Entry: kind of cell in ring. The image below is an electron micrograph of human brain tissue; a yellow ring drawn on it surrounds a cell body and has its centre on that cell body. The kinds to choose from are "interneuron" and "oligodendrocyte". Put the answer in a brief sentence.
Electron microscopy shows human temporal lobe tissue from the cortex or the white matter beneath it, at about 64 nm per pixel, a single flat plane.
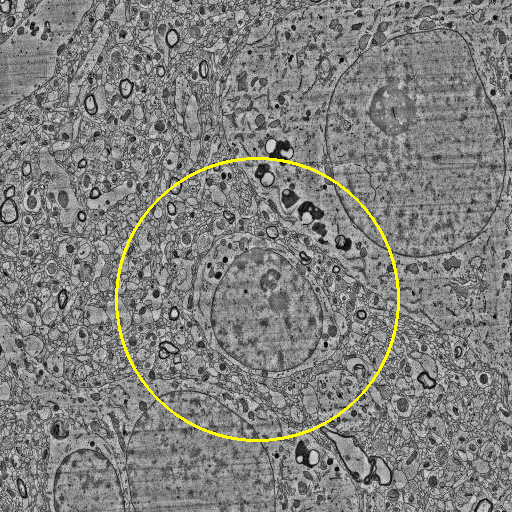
The ring has been drawn around an interneuron.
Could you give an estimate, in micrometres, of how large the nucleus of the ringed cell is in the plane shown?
Roughly 7 micrometres across, measured in this plane.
